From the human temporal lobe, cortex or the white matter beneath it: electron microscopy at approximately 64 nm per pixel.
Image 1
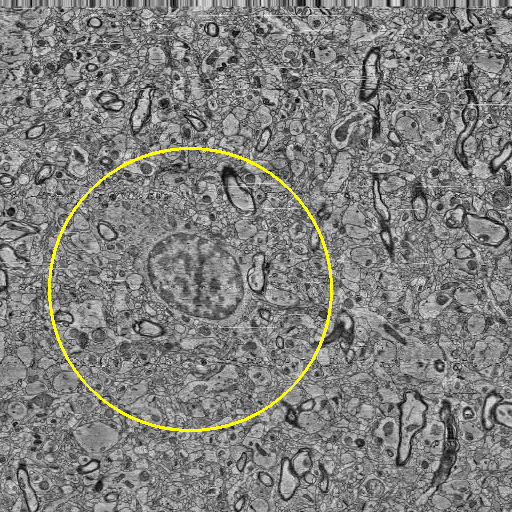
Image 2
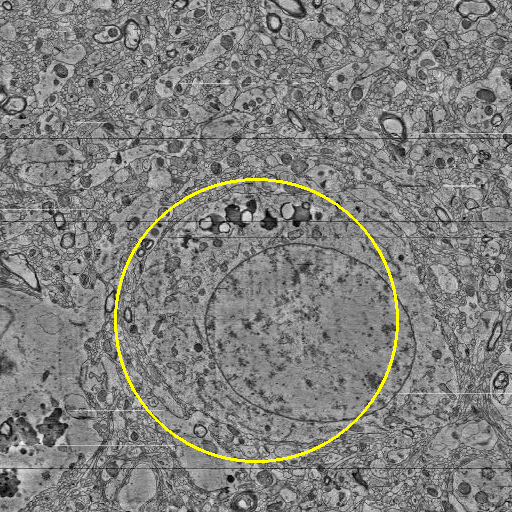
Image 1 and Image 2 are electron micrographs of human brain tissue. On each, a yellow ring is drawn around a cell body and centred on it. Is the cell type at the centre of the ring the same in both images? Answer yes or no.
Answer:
no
